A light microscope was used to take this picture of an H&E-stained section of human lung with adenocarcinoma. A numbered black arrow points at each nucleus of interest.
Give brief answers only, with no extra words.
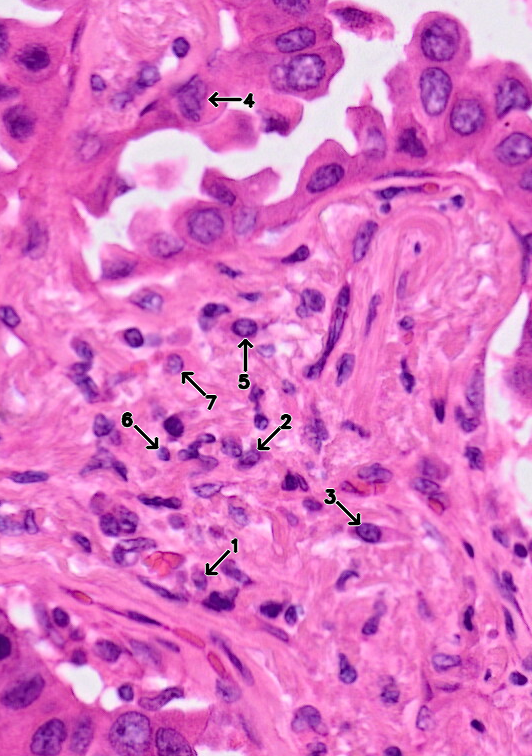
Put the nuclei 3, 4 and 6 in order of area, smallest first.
6, 3, 4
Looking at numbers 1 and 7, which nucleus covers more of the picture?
7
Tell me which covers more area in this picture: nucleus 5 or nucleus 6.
5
